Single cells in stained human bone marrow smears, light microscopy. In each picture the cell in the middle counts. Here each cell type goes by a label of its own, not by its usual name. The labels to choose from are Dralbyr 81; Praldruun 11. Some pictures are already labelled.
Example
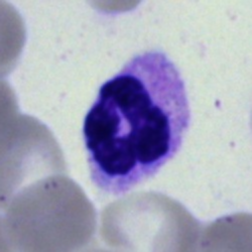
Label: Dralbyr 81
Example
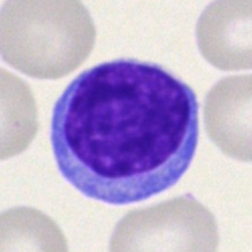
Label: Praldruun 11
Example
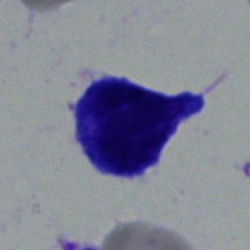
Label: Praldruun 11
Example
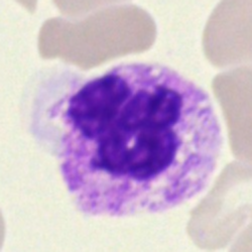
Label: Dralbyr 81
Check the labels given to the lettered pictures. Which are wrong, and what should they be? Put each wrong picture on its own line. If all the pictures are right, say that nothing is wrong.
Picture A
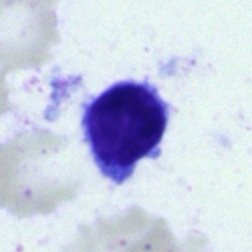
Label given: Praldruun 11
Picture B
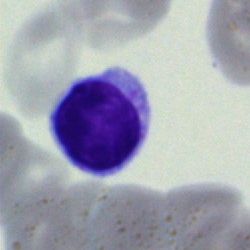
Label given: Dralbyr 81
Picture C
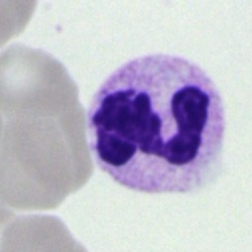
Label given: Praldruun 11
B: Praldruun 11, not Dralbyr 81
C: Dralbyr 81, not Praldruun 11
